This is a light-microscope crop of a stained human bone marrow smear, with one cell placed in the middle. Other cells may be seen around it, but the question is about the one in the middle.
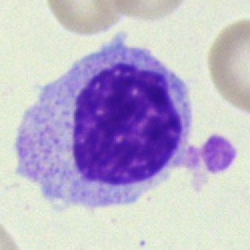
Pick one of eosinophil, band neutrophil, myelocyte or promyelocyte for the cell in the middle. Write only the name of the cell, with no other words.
myelocyte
